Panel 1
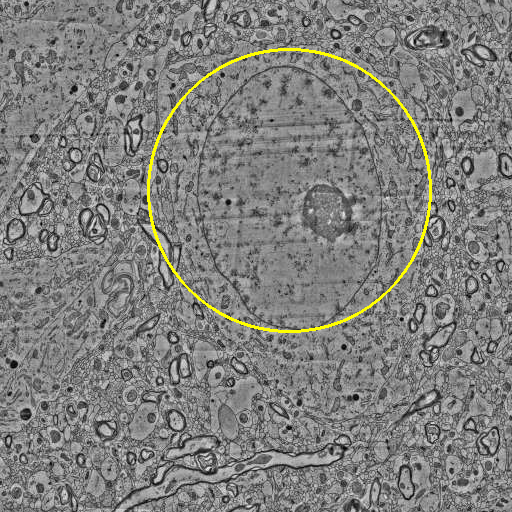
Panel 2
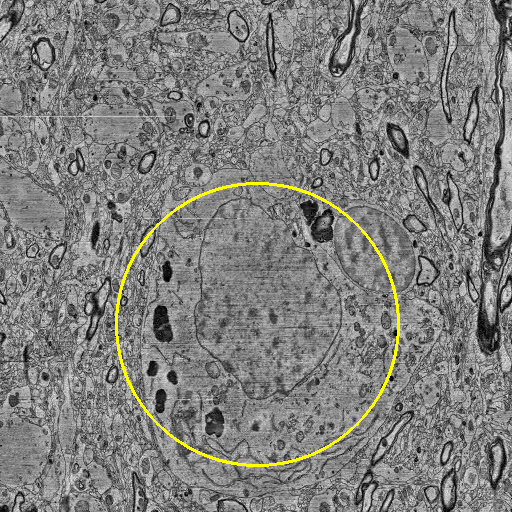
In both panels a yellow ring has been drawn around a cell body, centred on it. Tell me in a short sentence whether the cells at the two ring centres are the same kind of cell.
Yes, they are the same kind of cell.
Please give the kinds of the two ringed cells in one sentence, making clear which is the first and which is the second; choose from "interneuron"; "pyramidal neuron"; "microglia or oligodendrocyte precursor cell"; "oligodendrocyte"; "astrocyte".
The first and the second cell are each a pyramidal neuron.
